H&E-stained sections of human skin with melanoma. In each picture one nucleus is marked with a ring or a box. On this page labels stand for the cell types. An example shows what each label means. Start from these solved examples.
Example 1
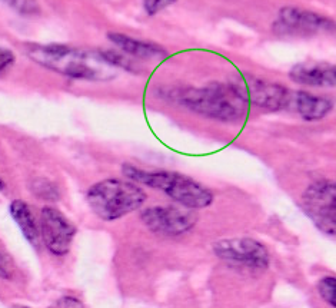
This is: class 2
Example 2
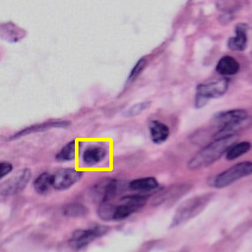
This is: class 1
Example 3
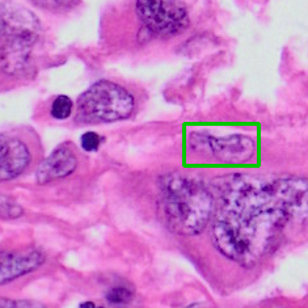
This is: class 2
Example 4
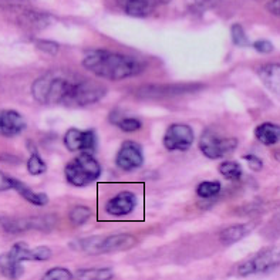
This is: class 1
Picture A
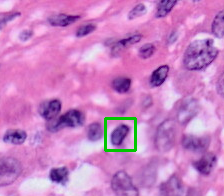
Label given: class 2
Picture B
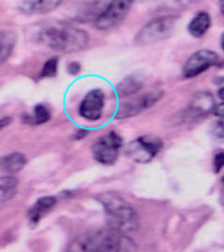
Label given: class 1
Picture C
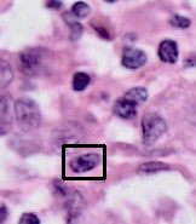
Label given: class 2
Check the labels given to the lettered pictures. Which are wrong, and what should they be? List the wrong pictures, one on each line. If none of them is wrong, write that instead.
Wrong: A (class 2); correct: class 1
Wrong: C (class 2); correct: class 1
